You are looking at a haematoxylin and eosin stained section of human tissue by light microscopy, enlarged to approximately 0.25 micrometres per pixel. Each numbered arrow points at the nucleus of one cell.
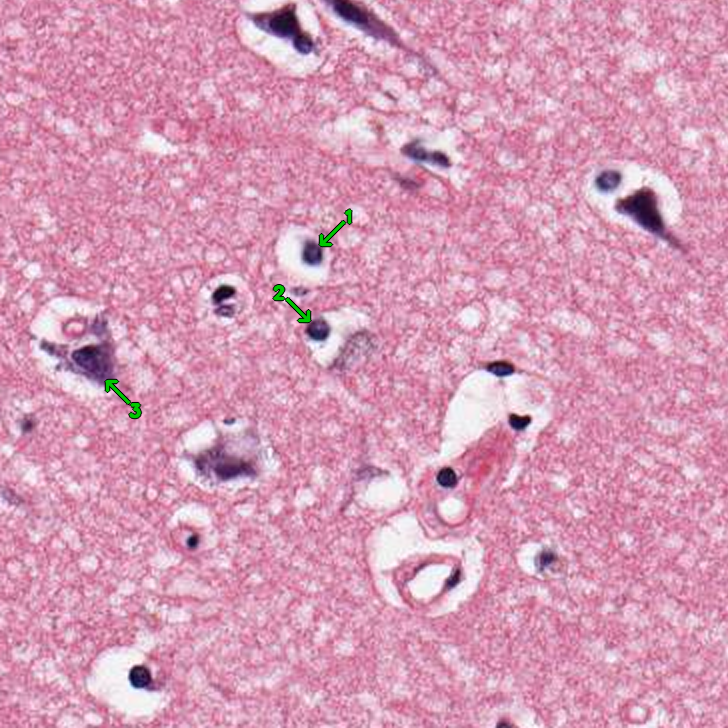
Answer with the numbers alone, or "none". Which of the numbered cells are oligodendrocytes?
1, 2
